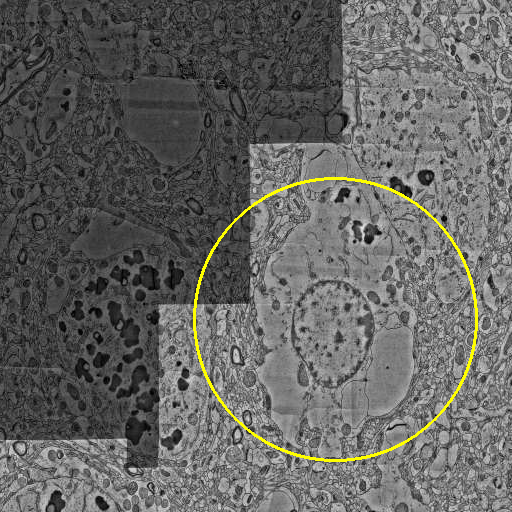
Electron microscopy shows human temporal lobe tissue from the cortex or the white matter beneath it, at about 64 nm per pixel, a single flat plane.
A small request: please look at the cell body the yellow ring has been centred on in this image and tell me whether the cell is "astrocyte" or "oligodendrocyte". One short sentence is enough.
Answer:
The cell marked by the ring is an astrocyte.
